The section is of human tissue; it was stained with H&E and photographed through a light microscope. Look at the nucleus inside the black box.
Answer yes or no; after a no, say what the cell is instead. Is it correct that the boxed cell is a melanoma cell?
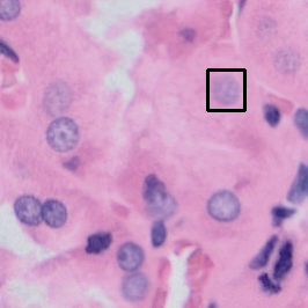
No, it is a proximal tubule cell.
